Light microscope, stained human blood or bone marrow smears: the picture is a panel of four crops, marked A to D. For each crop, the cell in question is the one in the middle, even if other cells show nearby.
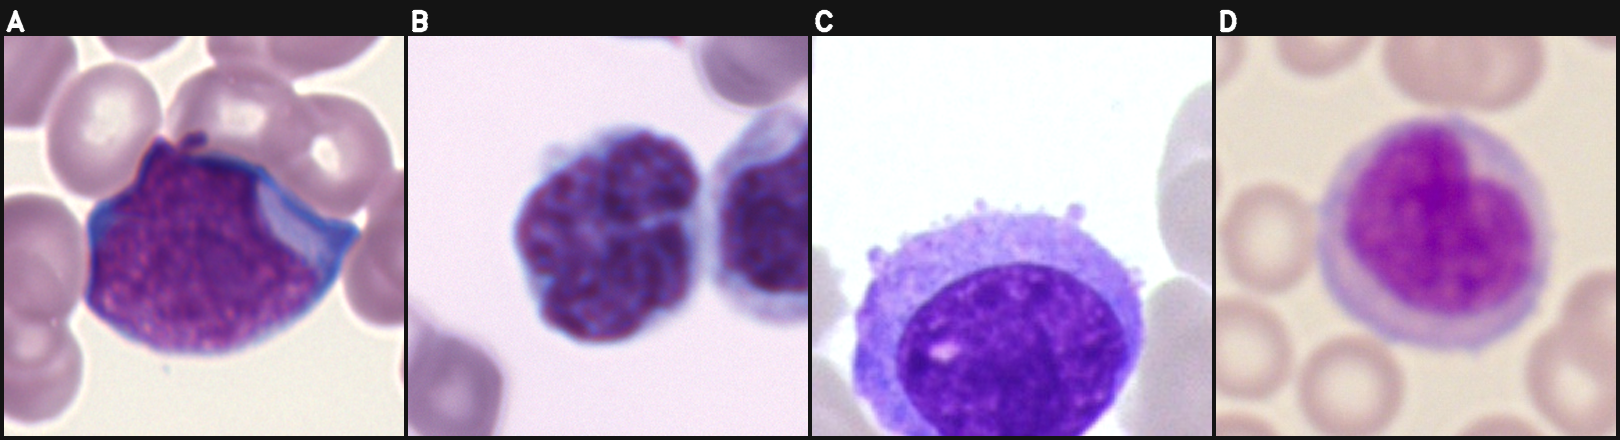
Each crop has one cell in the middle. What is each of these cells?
A: blast
B: monocyte
C: monocyte
D: monocyte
